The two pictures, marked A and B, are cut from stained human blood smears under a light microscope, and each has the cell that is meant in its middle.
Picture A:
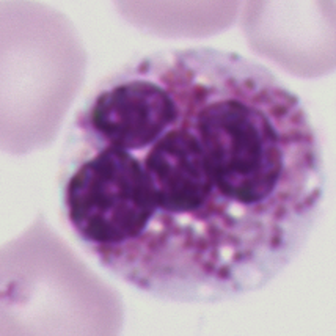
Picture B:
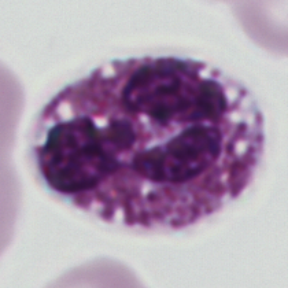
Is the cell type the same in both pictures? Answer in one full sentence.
Yes, the two pictures both show eosinophils.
